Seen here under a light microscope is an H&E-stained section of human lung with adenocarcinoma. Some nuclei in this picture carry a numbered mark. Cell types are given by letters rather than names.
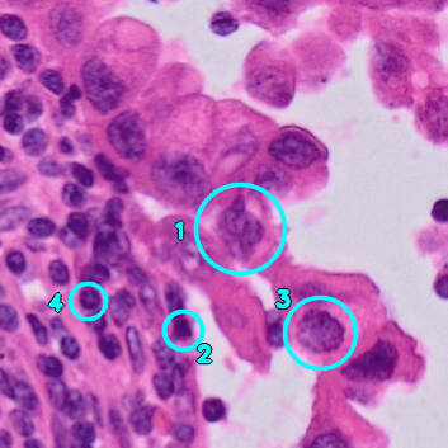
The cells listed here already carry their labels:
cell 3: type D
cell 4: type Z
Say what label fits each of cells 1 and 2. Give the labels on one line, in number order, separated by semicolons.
type D; type Z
